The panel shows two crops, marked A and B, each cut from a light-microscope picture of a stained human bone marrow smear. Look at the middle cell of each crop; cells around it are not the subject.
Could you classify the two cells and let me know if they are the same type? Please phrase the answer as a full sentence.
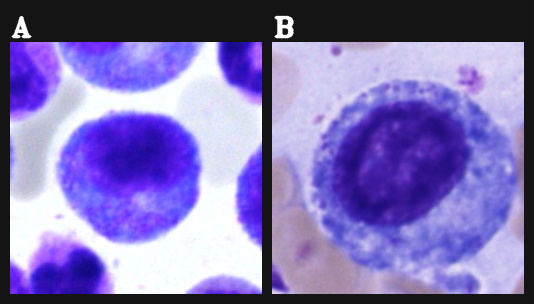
Yes, promyelocytes are centred in both crops.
